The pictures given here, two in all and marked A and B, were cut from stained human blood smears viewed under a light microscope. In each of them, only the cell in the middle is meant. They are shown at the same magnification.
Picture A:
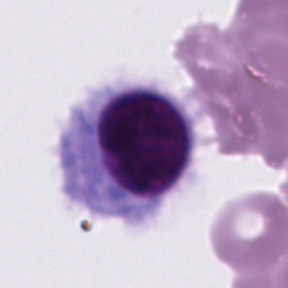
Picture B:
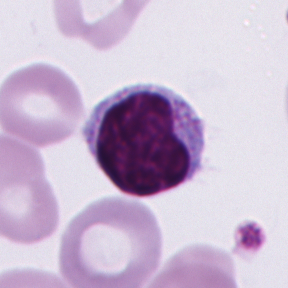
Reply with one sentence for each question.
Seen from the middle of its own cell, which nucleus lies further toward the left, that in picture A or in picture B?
It is the nucleus in picture B that lies further toward the left of its cell.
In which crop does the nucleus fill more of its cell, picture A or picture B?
In picture B the nucleus takes up the larger part of its cell.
